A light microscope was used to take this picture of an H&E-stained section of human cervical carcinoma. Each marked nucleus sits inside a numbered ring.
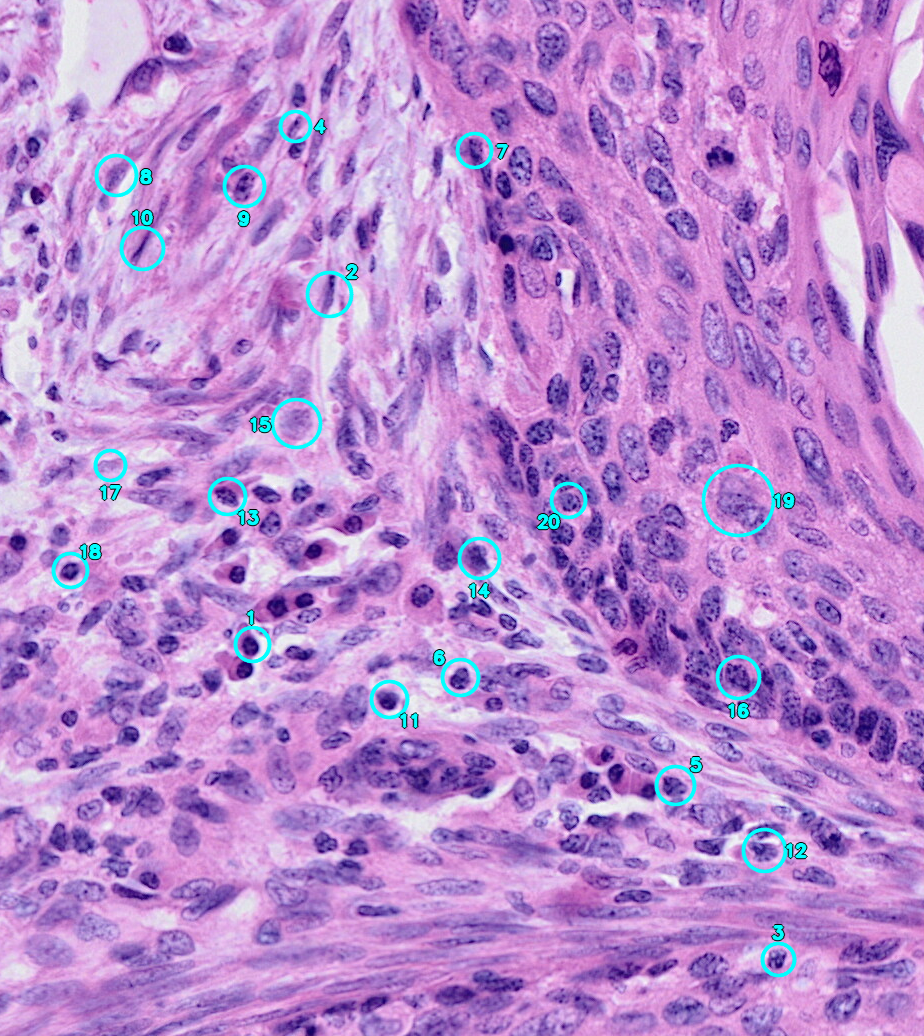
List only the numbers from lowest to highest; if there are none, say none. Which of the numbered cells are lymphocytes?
1, 3, 4, 5, 6, 9, 11, 12, 13, 14, 18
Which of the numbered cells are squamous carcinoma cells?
7, 16, 19, 20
